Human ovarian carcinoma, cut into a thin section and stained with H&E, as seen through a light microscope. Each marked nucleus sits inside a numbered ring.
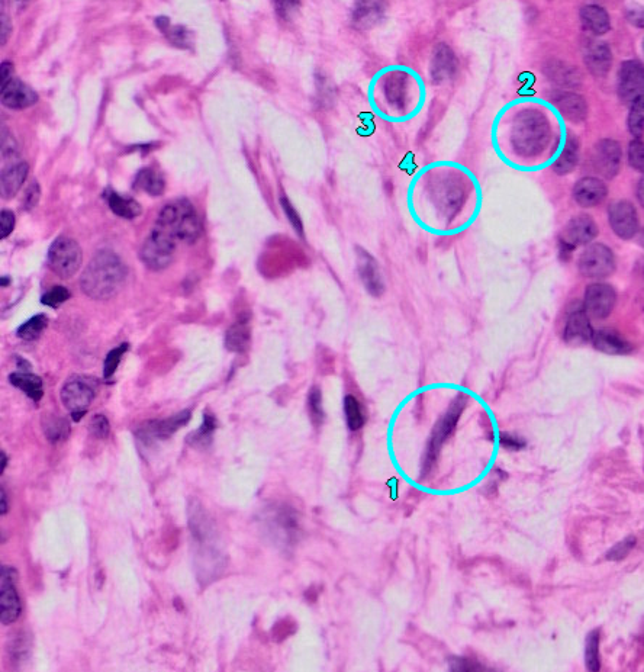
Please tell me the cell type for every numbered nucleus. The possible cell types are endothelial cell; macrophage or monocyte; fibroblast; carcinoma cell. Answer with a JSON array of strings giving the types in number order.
["fibroblast", "carcinoma cell", "fibroblast", "fibroblast"]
